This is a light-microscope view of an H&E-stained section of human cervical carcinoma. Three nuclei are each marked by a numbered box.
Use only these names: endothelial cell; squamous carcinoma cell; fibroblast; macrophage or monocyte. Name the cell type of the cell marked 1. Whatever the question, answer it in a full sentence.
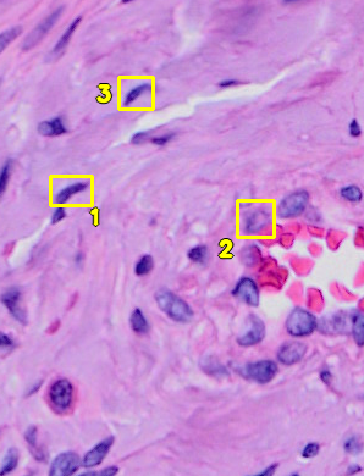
The cell numbered 1 represents a fibroblast.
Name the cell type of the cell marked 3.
The cell that goes by number 3 is a fibroblast.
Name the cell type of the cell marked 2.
The correct answer for cell 2 is an endothelial cell.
